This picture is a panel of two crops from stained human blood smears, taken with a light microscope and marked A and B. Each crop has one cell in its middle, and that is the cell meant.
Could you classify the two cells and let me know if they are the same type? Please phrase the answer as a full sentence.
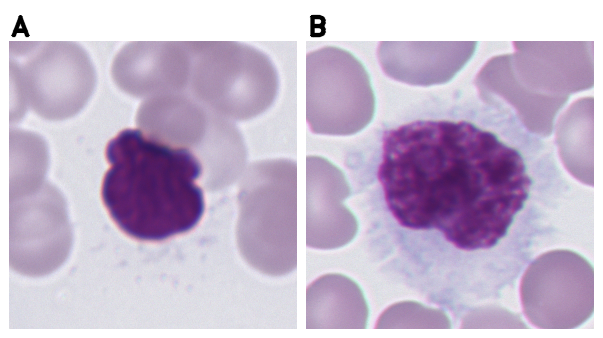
No, crop B centres on a hairy cell, and crop A centres on a smudge cell.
